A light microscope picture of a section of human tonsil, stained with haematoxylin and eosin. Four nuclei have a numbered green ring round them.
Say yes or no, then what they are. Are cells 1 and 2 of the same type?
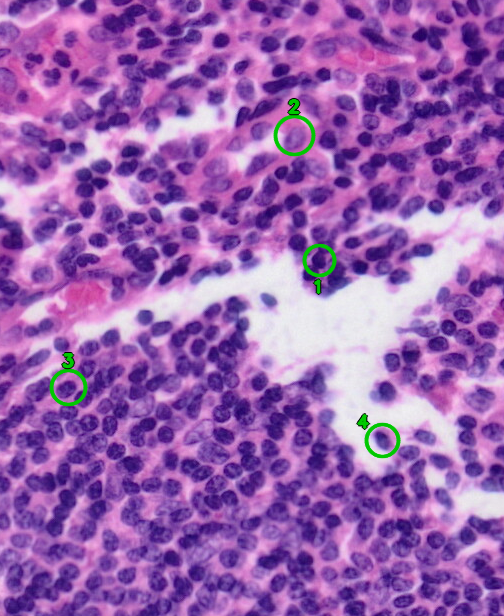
No, cell 1 is a small lymphocyte, but cell 2 is an endothelial cell.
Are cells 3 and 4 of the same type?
Yes, cells 3 and 4 fall into the same group, both being small lymphocytes.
